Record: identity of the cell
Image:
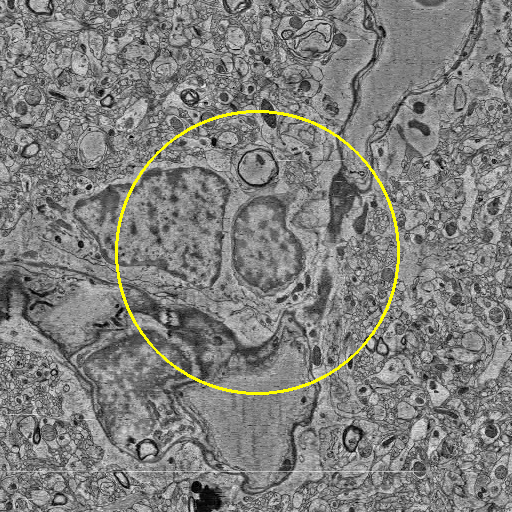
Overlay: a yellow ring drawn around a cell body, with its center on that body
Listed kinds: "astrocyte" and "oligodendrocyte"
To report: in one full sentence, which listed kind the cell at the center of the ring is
In the image, the cell body at the ring's center belongs to an oligodendrocyte.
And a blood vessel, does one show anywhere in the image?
Yes, a blood vessel can be seen.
